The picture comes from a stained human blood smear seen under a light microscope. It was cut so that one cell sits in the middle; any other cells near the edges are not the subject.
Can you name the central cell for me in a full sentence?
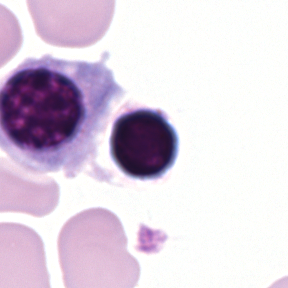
At the middle of the frame sits an erythroblast.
